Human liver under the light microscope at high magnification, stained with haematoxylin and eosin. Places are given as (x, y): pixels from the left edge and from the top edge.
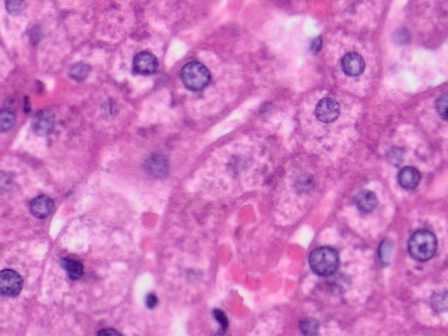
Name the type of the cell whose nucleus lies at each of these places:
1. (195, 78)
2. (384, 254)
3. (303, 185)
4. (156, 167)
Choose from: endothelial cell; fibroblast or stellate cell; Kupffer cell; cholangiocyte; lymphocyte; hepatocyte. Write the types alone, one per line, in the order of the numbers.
hepatocyte
endothelial cell
hepatocyte
hepatocyte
